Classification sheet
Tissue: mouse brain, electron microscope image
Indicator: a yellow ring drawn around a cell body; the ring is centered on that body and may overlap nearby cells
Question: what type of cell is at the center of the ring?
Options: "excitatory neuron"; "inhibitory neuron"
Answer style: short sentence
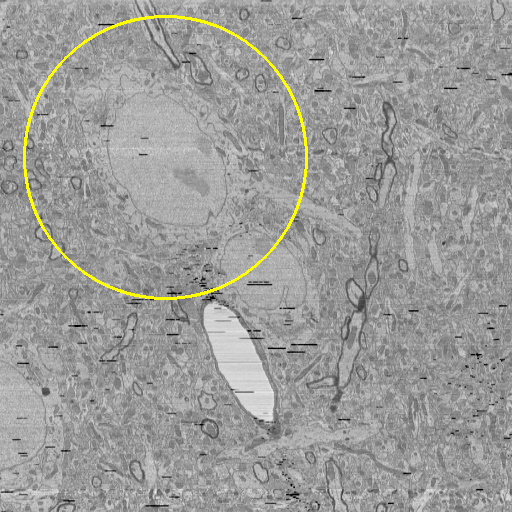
At the ring's center is an excitatory neuron.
